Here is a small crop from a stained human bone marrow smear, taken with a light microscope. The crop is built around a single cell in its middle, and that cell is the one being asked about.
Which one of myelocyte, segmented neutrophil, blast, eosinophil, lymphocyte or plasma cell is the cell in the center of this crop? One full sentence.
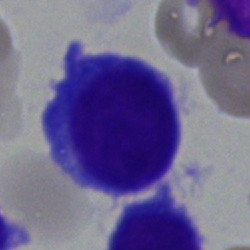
The cell at the middle of the frame should be recorded as a plasma cell.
